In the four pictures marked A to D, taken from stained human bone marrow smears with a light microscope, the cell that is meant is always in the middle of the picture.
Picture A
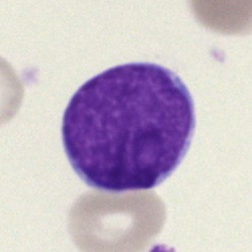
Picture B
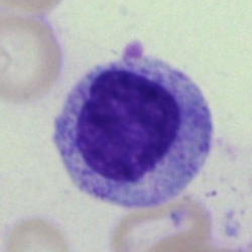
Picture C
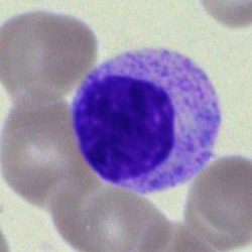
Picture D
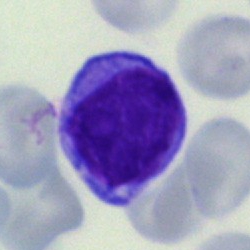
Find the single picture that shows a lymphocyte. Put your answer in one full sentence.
Picture D is the one that shows the lymphocyte.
